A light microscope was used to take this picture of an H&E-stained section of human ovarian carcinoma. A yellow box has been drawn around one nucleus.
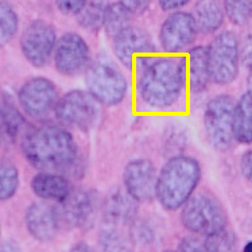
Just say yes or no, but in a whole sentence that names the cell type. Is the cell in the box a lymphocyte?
No, instead of a lymphocyte, the cell in the box is a carcinoma cell.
